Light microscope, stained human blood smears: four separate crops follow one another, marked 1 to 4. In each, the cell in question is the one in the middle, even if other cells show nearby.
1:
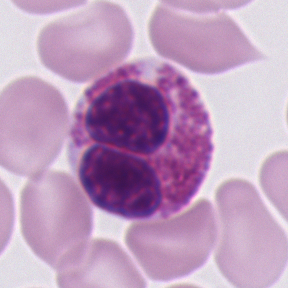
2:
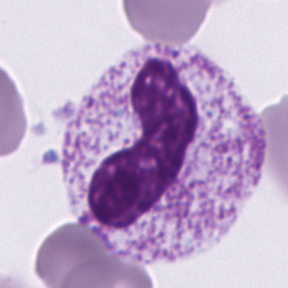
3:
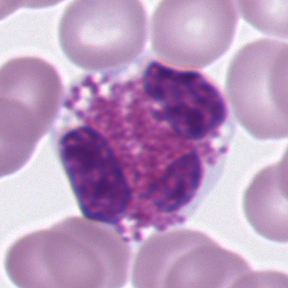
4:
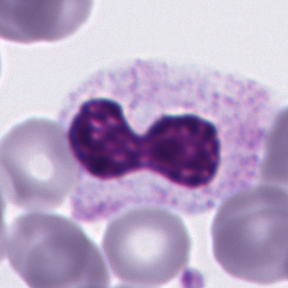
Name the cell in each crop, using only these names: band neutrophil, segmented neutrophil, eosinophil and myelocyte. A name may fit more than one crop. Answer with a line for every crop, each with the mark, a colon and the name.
1: eosinophil
2: band neutrophil
3: eosinophil
4: band neutrophil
